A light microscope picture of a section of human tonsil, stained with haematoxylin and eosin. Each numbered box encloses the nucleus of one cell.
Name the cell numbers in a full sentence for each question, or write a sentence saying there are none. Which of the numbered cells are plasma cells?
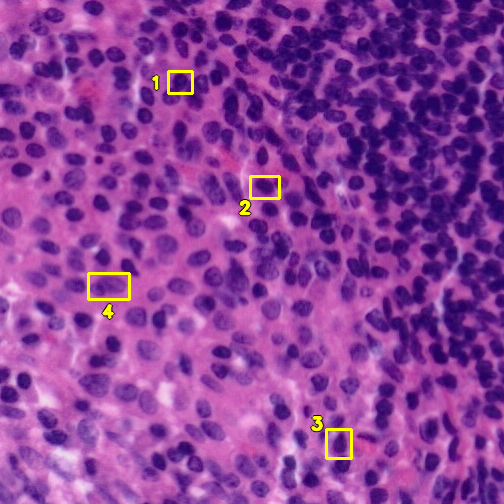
By cell type, the cells numbered 1, 2 and 3 are plasma cells.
